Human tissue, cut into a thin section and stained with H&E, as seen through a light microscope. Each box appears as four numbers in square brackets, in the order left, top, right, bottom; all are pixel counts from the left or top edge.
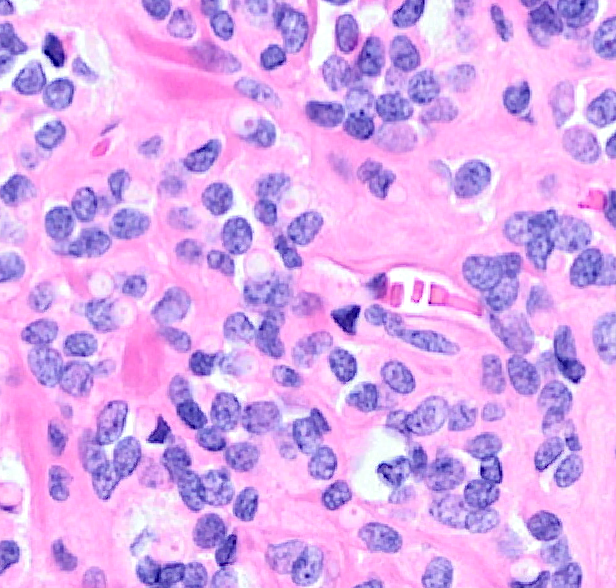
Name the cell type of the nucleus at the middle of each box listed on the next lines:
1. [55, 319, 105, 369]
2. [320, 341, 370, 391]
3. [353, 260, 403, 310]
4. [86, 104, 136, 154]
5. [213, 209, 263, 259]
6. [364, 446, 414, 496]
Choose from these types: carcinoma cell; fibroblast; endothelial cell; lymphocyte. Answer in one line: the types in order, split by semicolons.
carcinoma cell; carcinoma cell; endothelial cell; endothelial cell; carcinoma cell; carcinoma cell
